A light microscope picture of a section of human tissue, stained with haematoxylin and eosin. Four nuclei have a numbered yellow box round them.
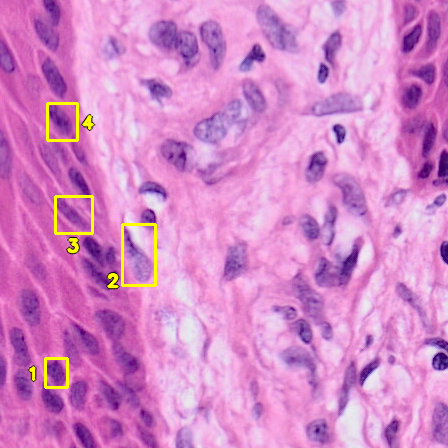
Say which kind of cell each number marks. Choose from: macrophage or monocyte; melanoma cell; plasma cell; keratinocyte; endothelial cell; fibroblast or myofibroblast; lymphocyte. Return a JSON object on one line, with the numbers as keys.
{"1": "keratinocyte", "2": "fibroblast or myofibroblast", "3": "keratinocyte", "4": "keratinocyte"}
